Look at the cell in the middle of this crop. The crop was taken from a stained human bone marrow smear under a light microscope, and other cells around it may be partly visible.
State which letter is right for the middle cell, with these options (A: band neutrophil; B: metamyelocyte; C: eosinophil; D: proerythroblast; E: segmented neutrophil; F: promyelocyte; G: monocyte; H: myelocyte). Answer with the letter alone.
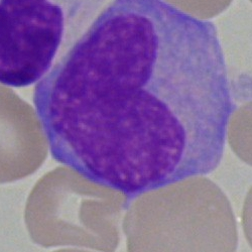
G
